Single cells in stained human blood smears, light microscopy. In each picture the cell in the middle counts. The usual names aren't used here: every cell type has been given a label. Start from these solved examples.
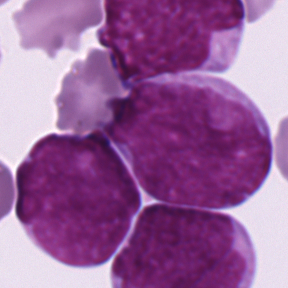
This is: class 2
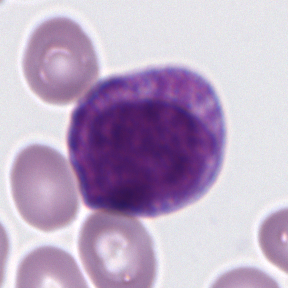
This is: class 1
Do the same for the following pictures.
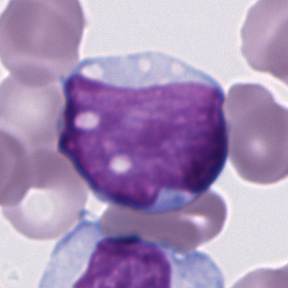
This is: class 2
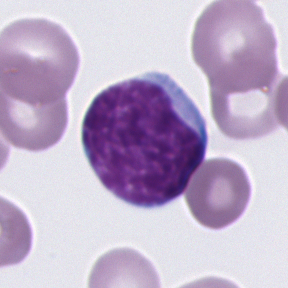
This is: class 2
